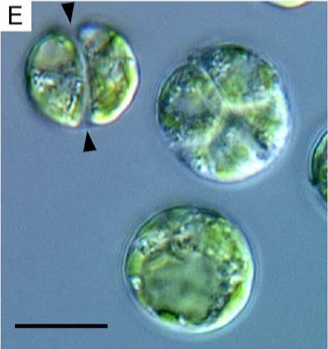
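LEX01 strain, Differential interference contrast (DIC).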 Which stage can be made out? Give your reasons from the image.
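Binary and quaternary cell divisions. A larger wall encloses four wedge-shaped daughter cells arranged in a cross.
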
